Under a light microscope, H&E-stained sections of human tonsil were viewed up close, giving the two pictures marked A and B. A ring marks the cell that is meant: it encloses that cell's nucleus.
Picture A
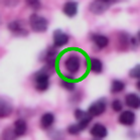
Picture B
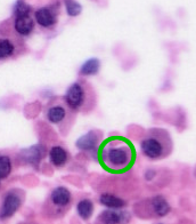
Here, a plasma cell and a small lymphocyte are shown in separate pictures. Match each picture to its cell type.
A: small lymphocyte
B: plasma cell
